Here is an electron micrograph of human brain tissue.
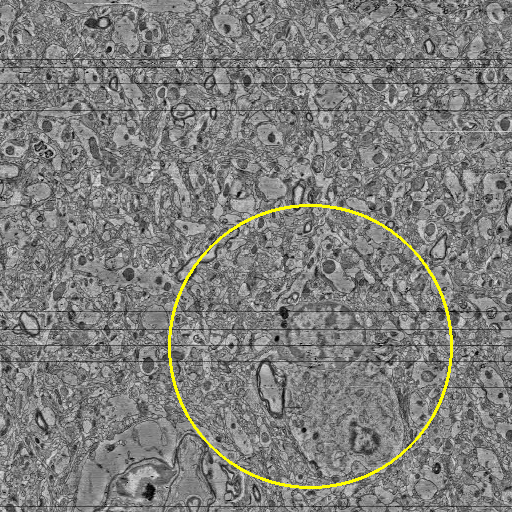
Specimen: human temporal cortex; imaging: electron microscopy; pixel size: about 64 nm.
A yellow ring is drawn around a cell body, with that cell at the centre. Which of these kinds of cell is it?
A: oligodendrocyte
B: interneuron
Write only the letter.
A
